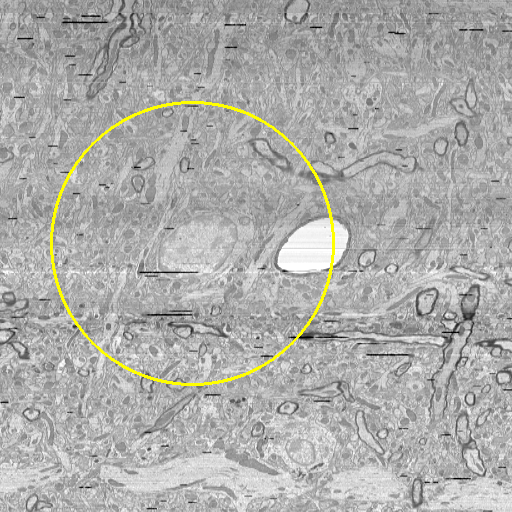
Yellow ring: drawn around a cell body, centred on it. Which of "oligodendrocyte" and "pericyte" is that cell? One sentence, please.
That cell body is from an oligodendrocyte.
